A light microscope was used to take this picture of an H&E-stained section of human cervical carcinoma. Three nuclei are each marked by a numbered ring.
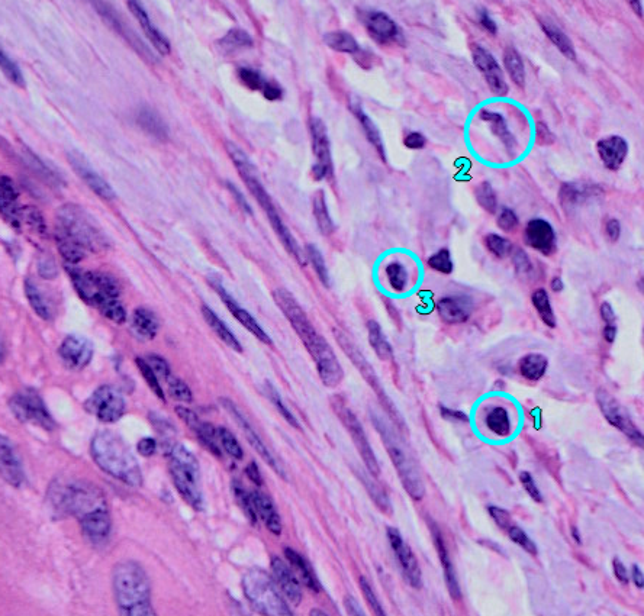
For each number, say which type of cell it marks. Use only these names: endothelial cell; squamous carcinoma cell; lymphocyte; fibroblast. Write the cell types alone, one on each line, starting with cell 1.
lymphocyte
fibroblast
lymphocyte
